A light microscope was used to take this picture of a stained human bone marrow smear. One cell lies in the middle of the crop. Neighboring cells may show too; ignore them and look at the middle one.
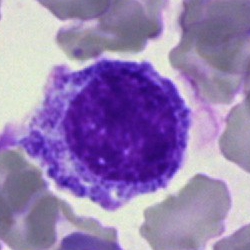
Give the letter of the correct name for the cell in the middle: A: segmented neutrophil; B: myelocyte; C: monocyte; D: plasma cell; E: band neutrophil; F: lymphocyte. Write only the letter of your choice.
B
